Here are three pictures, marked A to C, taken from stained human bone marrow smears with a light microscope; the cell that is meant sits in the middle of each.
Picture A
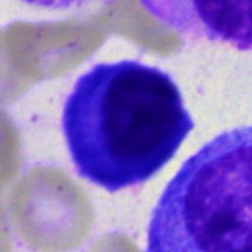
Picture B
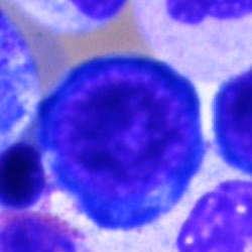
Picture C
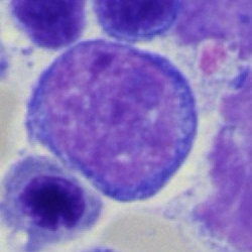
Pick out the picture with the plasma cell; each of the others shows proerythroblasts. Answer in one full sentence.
Picture A is the one that shows the plasma cell.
